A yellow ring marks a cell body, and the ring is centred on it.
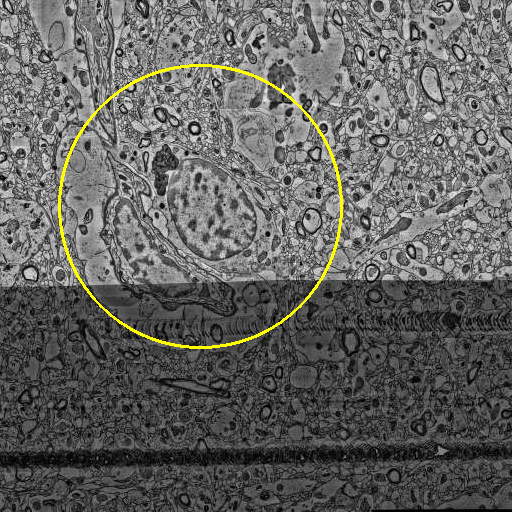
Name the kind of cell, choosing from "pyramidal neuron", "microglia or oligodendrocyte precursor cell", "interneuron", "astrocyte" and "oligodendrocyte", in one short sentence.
The marked cell body belongs to an oligodendrocyte.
